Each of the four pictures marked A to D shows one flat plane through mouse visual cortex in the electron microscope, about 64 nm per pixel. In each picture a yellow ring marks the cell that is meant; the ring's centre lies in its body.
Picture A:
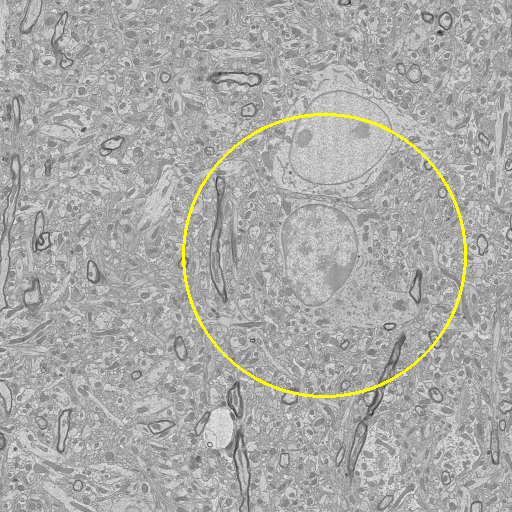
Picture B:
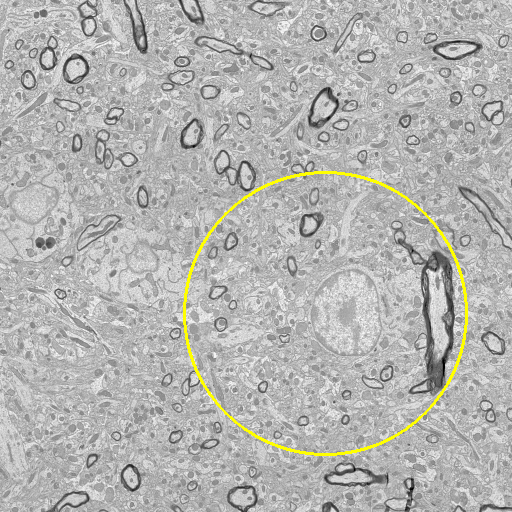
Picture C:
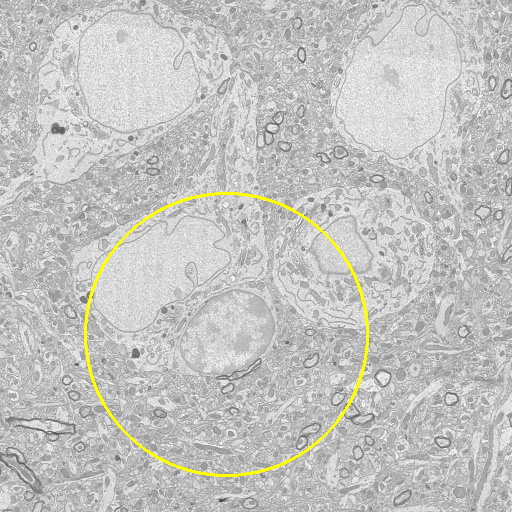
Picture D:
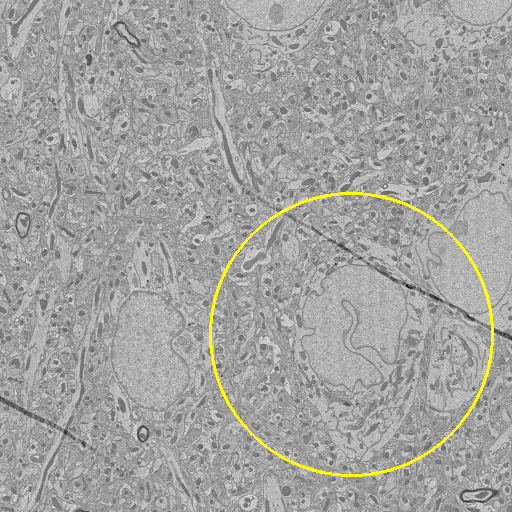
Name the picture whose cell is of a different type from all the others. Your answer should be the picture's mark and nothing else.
D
